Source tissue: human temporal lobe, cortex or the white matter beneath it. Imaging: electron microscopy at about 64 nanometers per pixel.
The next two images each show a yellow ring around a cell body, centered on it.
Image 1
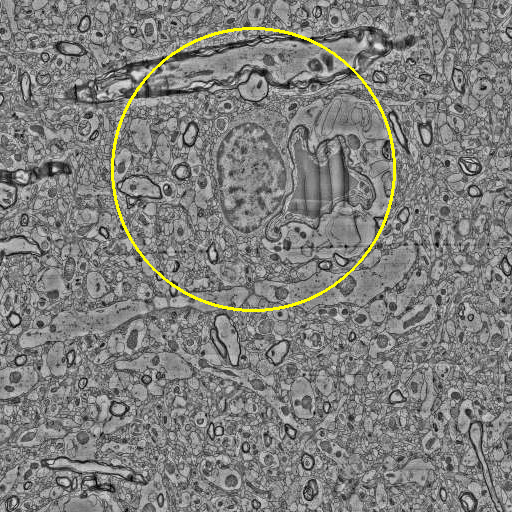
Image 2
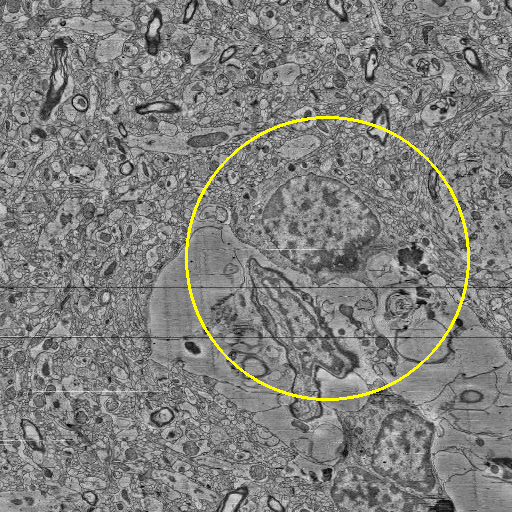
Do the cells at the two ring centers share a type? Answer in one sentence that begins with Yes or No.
Yes, across the two images the cells at the ring centers share one type.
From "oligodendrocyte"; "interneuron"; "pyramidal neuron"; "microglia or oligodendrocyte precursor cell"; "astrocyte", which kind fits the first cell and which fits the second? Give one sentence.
Each of the two rings is centred on an oligodendrocyte.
